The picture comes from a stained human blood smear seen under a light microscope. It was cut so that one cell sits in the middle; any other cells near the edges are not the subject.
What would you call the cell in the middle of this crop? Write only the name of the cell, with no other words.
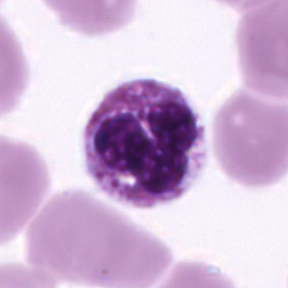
eosinophil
